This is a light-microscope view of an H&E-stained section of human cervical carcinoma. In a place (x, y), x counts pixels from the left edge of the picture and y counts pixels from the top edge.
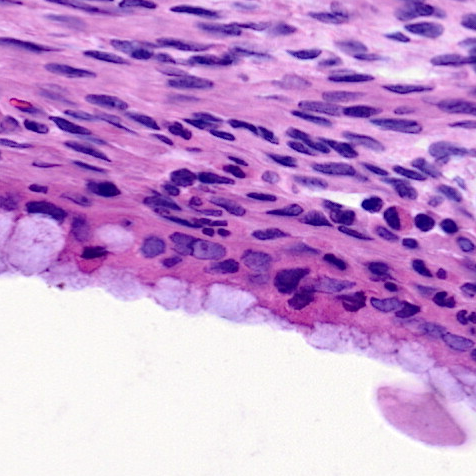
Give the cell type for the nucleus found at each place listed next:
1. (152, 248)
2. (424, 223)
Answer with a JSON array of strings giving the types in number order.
["secretory epithelial cell", "lymphocyte"]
